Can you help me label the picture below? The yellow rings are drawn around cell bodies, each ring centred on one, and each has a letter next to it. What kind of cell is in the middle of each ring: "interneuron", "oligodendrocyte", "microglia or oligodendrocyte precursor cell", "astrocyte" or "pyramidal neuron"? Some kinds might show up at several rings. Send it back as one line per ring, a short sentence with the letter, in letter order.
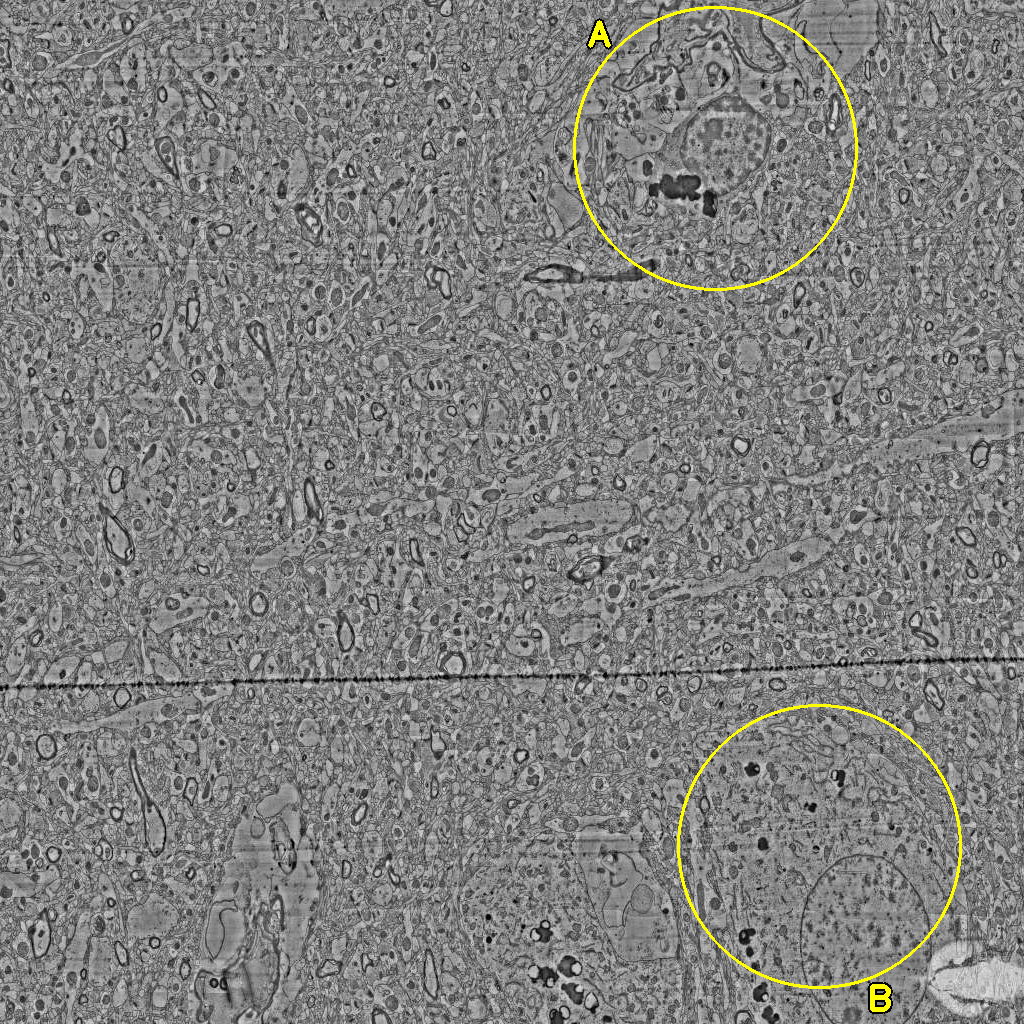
Ring A has an oligodendrocyte in the middle.
Ring B has a pyramidal neuron in the middle.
